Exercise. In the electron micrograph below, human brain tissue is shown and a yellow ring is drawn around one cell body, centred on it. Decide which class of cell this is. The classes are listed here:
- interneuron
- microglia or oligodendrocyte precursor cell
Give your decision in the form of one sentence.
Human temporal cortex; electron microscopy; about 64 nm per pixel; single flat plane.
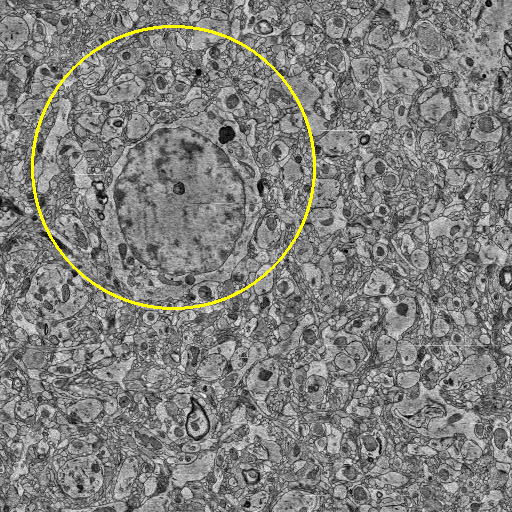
The cell body marked by the ring belongs to an interneuron.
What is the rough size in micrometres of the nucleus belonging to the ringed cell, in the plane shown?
About 10 by 8 micrometres in this plane.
